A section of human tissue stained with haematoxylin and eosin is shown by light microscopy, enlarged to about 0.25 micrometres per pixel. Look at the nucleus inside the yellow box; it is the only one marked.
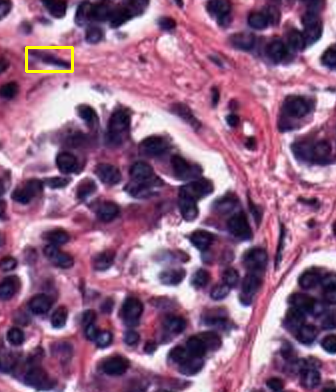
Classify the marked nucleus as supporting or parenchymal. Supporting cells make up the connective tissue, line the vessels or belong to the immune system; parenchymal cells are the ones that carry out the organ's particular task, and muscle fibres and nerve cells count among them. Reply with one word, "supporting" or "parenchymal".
supporting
